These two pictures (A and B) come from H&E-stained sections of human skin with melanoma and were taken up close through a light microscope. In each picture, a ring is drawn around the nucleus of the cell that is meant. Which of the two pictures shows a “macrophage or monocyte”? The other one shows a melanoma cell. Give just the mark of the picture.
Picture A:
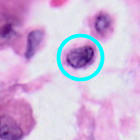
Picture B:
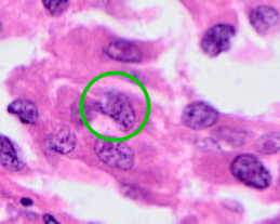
A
